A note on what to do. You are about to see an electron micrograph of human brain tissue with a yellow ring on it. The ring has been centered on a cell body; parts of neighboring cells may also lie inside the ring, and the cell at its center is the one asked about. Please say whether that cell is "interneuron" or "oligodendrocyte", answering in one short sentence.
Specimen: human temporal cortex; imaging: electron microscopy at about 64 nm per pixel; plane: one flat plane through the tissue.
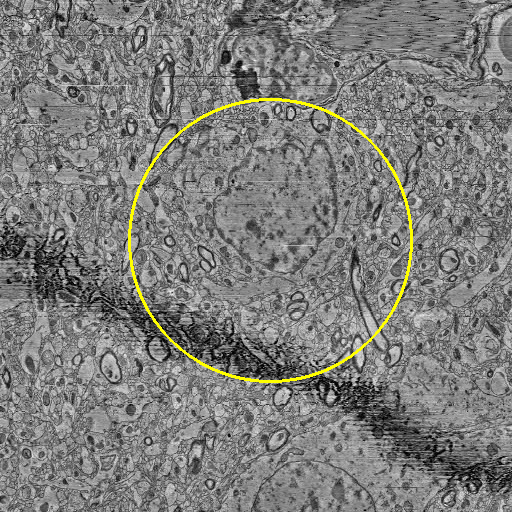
The yellow ring sits on an interneuron.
